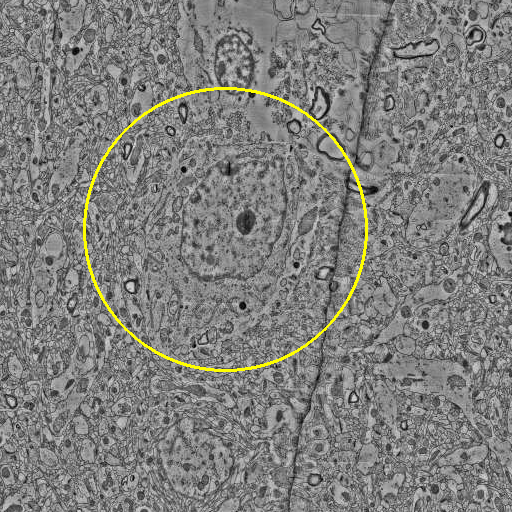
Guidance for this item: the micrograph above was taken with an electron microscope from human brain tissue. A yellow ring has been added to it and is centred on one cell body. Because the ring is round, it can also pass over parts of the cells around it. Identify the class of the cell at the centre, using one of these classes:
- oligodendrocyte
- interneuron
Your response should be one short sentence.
The ring surrounds the body of an interneuron.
